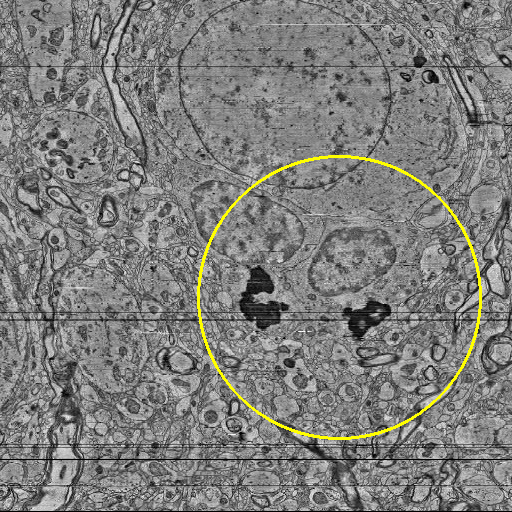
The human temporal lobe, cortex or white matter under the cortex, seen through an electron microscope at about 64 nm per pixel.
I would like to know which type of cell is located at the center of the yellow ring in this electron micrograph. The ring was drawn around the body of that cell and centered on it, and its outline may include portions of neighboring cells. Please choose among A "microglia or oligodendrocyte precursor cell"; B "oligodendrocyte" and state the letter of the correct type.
B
